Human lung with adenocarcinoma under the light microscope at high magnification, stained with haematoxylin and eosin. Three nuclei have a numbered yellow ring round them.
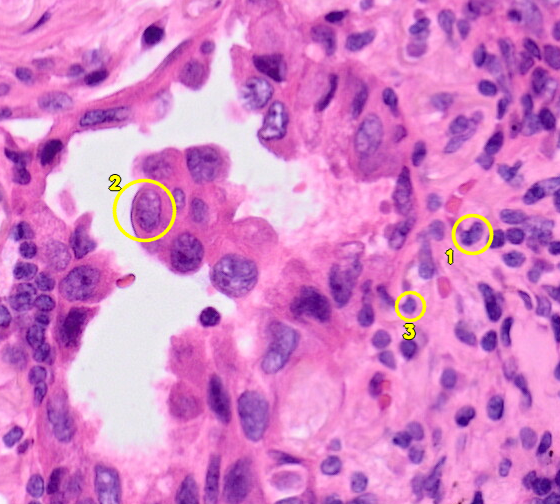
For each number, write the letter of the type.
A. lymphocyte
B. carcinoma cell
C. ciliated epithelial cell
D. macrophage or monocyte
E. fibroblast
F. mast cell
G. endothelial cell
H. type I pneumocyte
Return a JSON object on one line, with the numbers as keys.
{"1": "A", "2": "B", "3": "A"}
